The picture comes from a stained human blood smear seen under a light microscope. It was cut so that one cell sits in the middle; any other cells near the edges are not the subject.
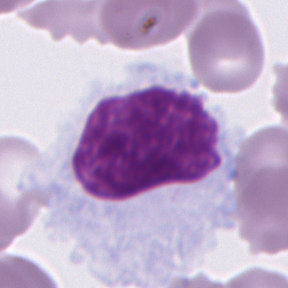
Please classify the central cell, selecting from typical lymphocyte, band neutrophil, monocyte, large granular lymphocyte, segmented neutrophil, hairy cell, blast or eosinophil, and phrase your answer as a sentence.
Where the crop is centred, there is a hairy cell.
